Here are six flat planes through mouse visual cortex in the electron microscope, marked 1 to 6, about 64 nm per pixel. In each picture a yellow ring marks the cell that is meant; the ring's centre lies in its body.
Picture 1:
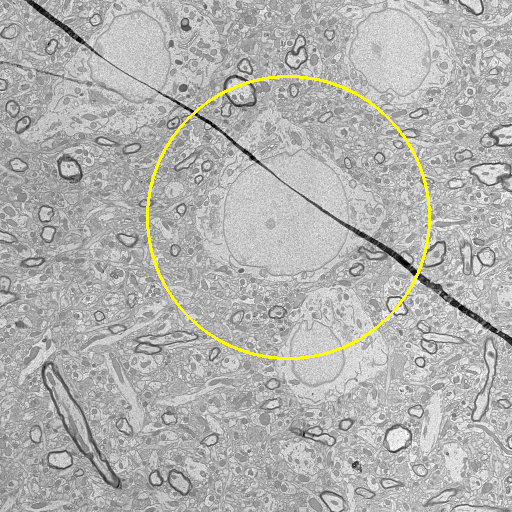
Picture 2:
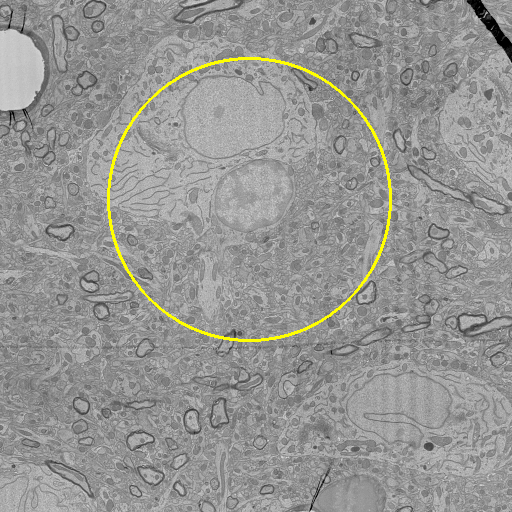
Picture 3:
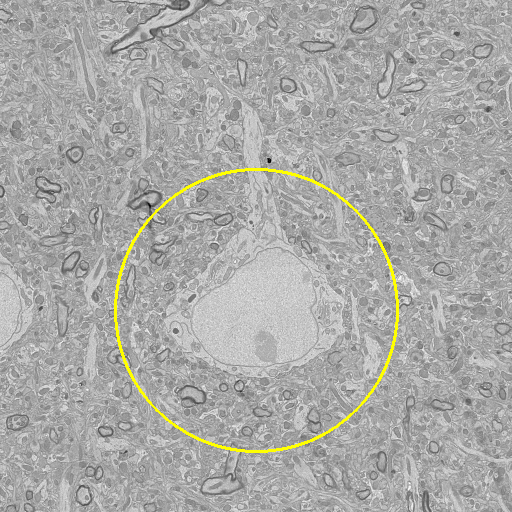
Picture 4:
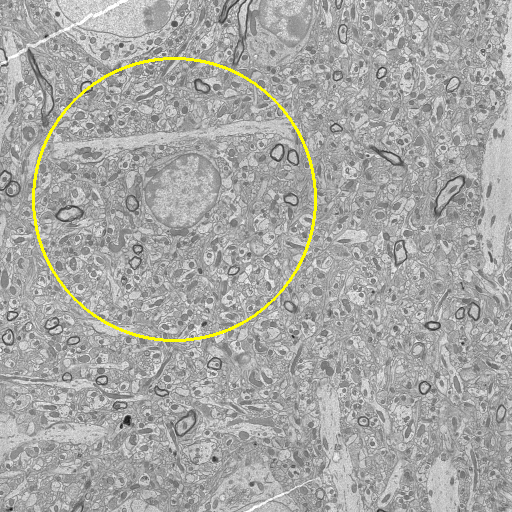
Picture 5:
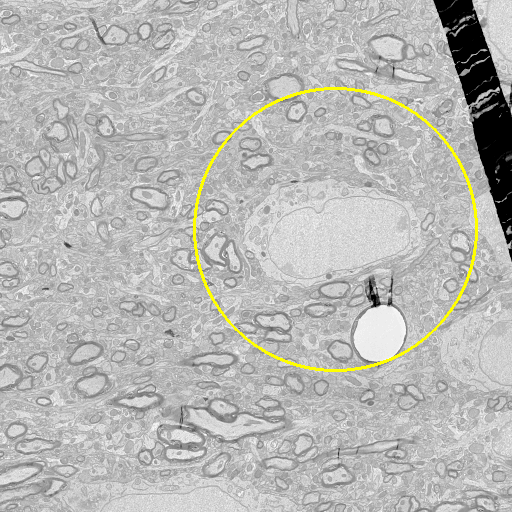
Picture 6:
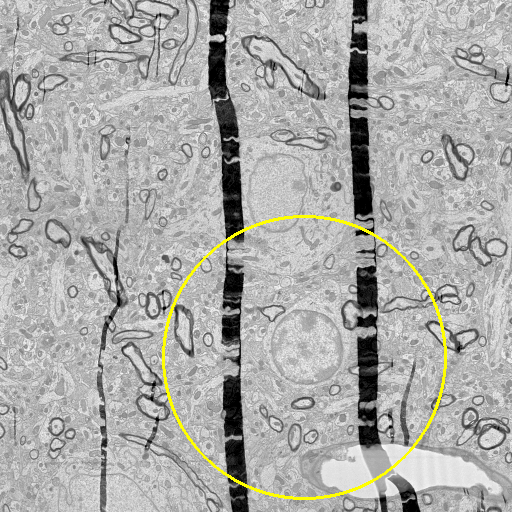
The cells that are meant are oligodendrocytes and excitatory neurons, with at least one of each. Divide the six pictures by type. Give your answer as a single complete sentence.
Pictures 2, 4 and 6 show oligodendrocytes, and pictures 1, 3 and 5 show excitatory neurons.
